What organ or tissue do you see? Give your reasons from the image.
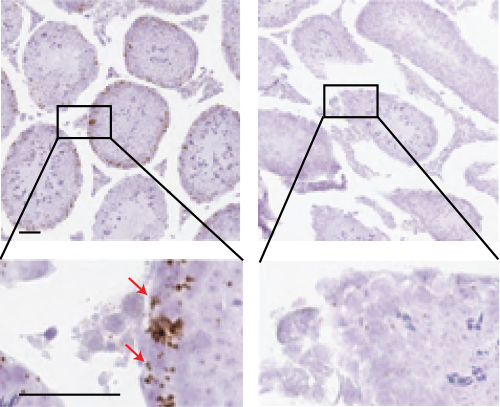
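Testis. Round cross-sections of tubules packed side by side.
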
